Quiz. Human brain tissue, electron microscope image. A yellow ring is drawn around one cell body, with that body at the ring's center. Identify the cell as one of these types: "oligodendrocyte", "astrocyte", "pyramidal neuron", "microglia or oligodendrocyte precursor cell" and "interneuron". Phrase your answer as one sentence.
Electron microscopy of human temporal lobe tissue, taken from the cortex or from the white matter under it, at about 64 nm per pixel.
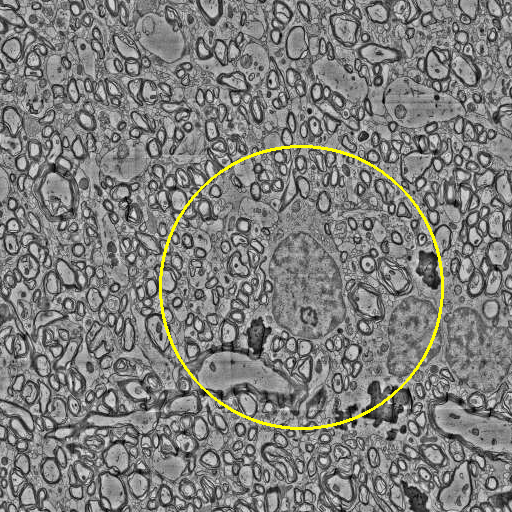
At the center of the ring sits an oligodendrocyte.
